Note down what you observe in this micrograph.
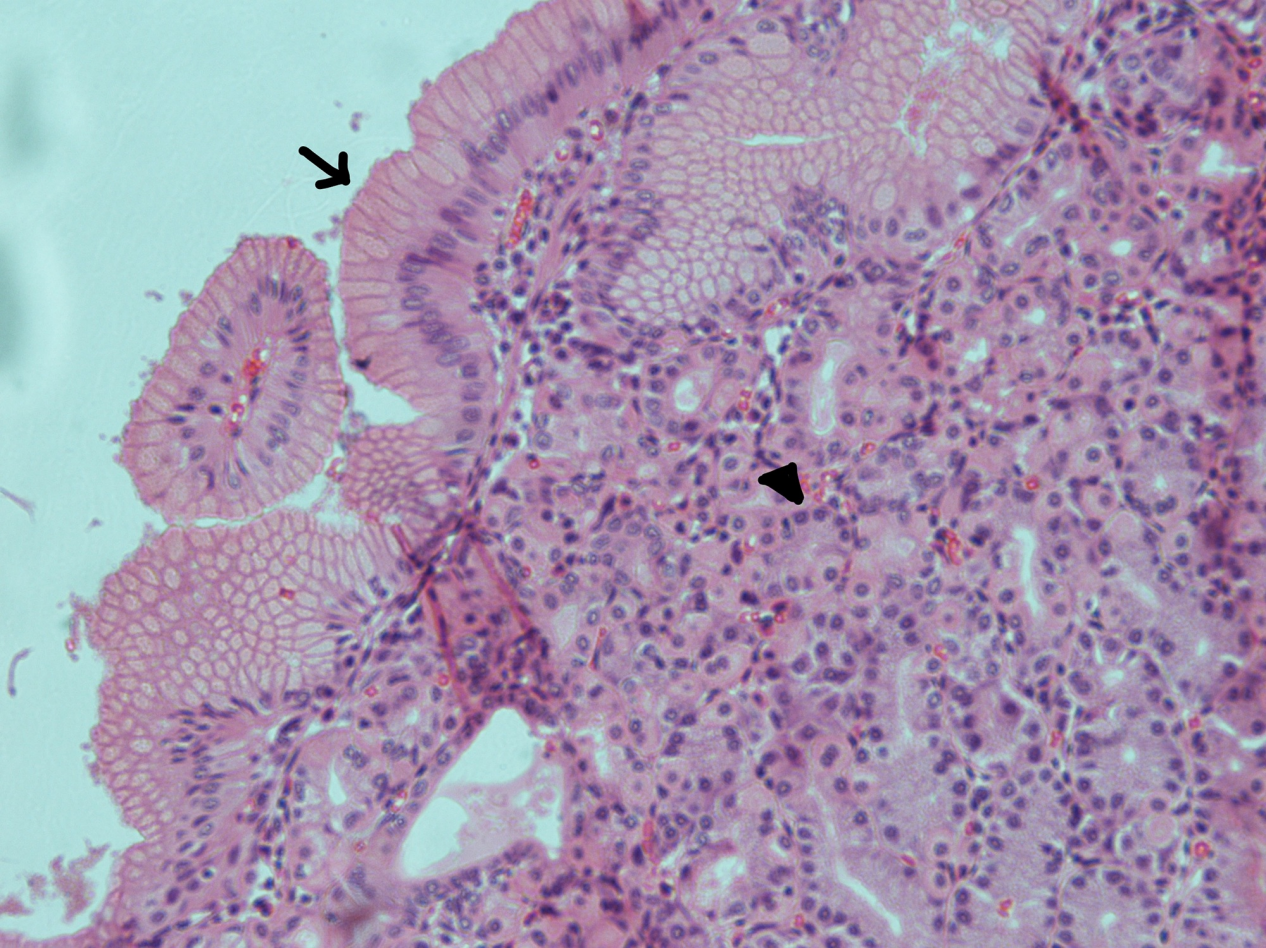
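A single row of tall columnar cells covers the surface and dips into pits. Their basal nuclei stand in a neat line beneath pale, mucin-filled cytoplasm. Below the surface, closely packed glands are made of rounded cells with central round nuclei and pink, granular cytoplasm, separated by thin strands of connective tissue with small vessels.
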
